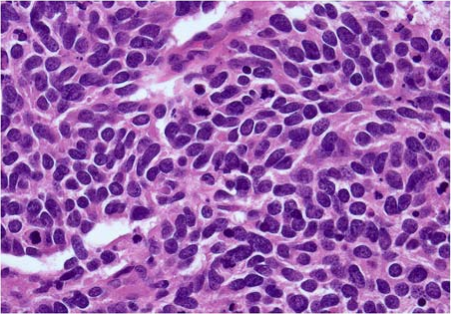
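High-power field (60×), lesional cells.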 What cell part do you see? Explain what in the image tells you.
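Nuclei stain dark purple. Nuclei are round to oval.
Answer: hyperchromatic nuclei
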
